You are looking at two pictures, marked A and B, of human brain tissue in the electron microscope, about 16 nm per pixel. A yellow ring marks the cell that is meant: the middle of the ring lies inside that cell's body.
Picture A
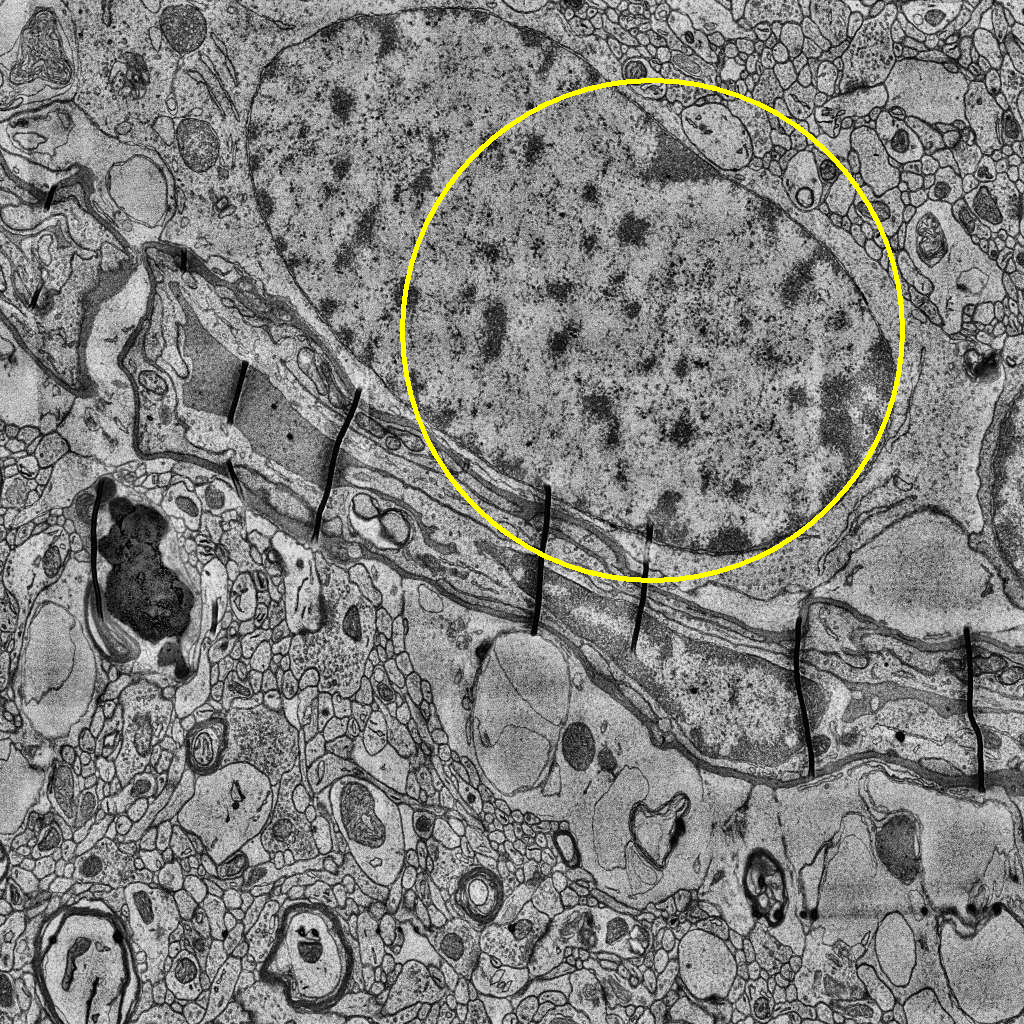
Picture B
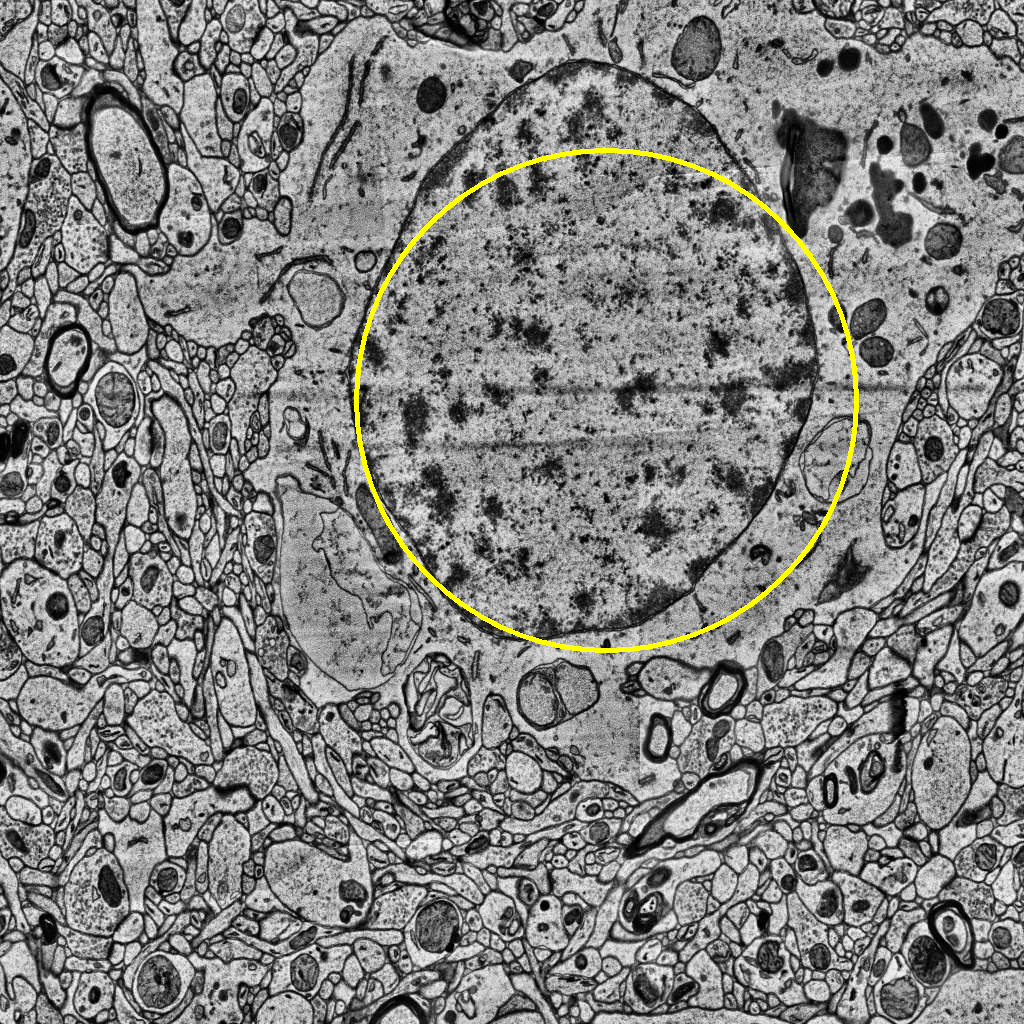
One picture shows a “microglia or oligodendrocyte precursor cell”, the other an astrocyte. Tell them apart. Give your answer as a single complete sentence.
In picture A the cell is a “microglia or oligodendrocyte precursor cell”; in picture B, an astrocyte.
